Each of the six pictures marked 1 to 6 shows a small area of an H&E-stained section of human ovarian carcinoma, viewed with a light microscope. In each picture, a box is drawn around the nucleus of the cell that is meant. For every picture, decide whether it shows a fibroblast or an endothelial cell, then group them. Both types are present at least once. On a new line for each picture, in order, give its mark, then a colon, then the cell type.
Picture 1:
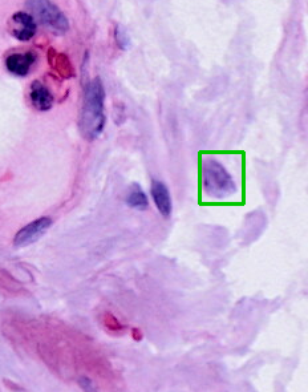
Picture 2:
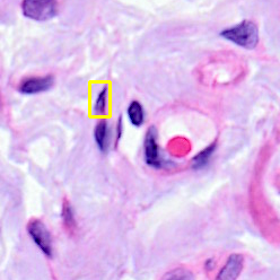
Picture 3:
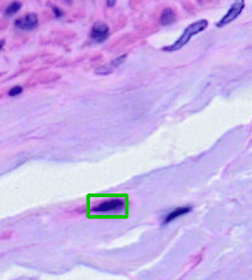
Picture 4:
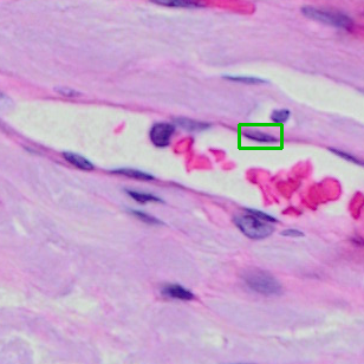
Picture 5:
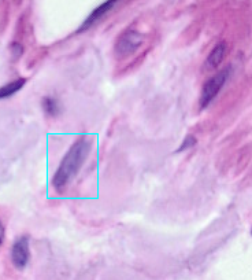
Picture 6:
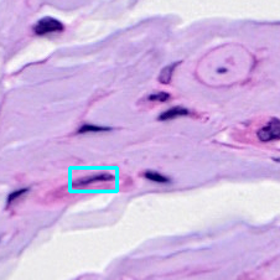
1: fibroblast
2: fibroblast
3: endothelial cell
4: endothelial cell
5: fibroblast
6: endothelial cell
